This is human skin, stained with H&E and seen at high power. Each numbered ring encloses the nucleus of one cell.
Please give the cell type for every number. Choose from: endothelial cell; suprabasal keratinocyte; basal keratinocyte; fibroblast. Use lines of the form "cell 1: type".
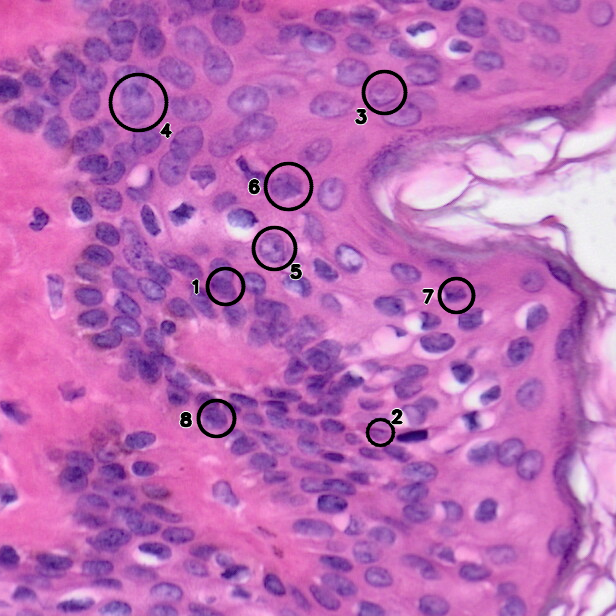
cell 1: basal keratinocyte
cell 2: basal keratinocyte
cell 3: suprabasal keratinocyte
cell 4: suprabasal keratinocyte
cell 5: suprabasal keratinocyte
cell 6: suprabasal keratinocyte
cell 7: suprabasal keratinocyte
cell 8: basal keratinocyte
